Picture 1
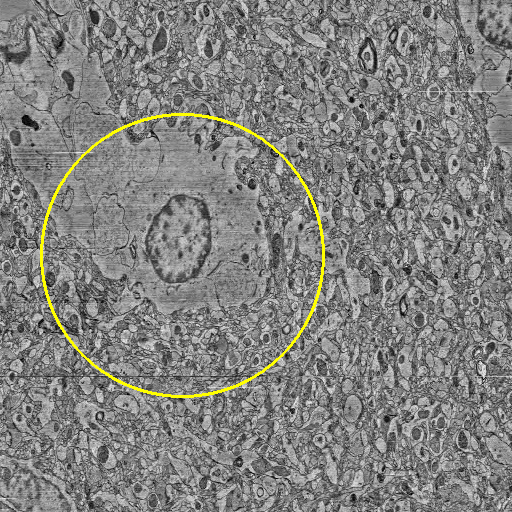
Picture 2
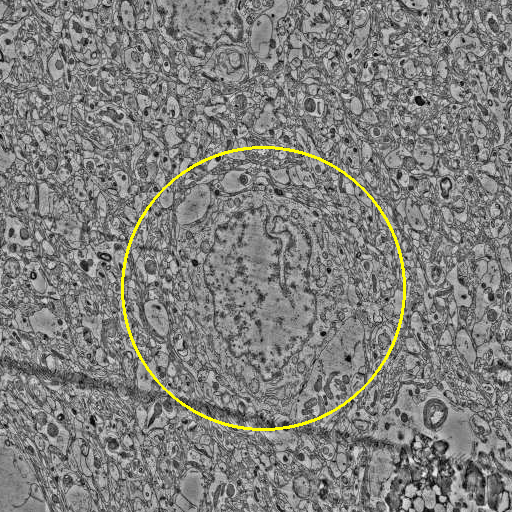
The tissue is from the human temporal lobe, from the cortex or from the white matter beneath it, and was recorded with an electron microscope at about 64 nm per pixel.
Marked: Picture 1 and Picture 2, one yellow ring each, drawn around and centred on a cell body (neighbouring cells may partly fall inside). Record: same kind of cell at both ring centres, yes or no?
no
